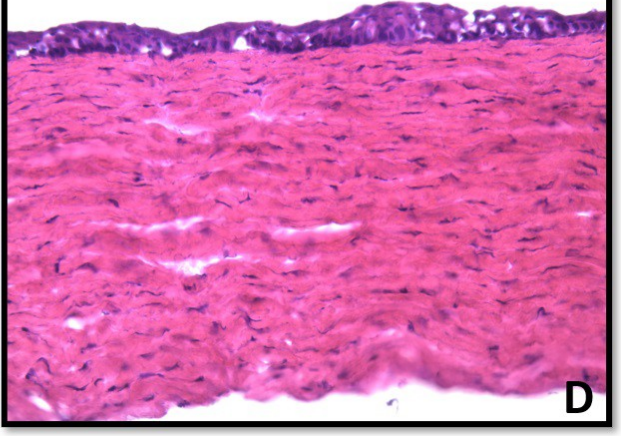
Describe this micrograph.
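A section of cornea with a multilayered epithelium on its surface, several rows of purple-nucleated cells thick, over a dense pink stroma. The stroma consists of closely packed parallel collagen lamellae with many flattened dark keratocyte nuclei and only a few narrow clear clefts.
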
